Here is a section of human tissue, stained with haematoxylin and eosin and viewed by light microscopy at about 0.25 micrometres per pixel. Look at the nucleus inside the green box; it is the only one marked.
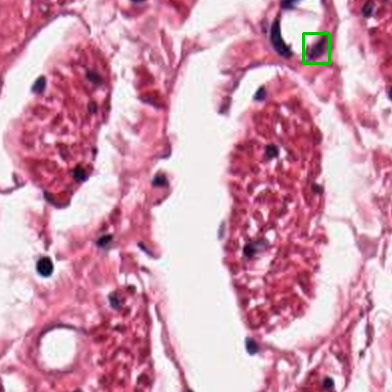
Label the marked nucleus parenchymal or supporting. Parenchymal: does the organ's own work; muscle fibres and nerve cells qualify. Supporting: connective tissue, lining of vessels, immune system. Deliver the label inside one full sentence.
It is to a supporting cell that the marked nucleus is assigned.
